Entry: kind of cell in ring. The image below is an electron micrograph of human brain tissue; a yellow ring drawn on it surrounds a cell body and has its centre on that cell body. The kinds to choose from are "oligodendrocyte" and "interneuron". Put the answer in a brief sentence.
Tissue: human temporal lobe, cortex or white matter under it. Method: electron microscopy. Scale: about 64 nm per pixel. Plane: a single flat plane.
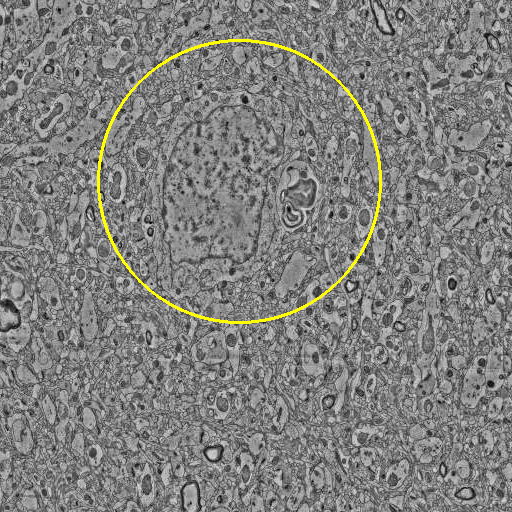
The ring has been drawn around an interneuron.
